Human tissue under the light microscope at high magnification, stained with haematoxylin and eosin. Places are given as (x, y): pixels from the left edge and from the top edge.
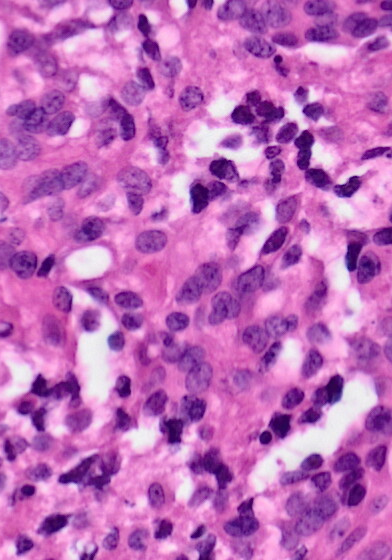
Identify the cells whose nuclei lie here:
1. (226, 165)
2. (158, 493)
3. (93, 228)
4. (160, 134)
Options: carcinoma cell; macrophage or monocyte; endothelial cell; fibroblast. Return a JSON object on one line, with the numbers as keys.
{"1": "carcinoma cell", "2": "macrophage or monocyte", "3": "carcinoma cell", "4": "carcinoma cell"}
